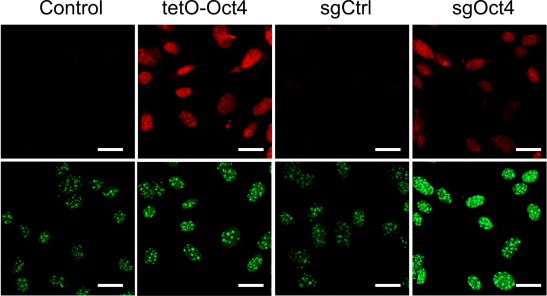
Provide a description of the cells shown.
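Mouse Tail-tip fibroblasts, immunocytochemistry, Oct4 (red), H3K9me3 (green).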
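In the red row, oval nuclei glow red in the second and fourth columns, while the first and third columns are almost dark. In the green row, every image shows scattered oval nuclei filled with bright green dots, and the cells lie apart from one another. The green nuclei in the last column look larger and brighter than those in the other columns.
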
